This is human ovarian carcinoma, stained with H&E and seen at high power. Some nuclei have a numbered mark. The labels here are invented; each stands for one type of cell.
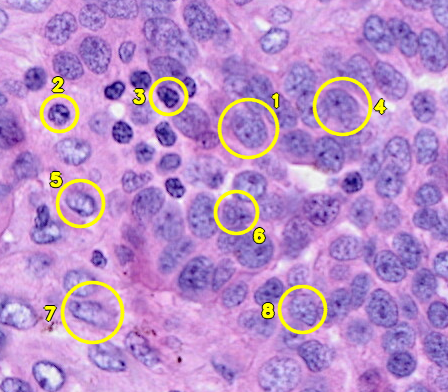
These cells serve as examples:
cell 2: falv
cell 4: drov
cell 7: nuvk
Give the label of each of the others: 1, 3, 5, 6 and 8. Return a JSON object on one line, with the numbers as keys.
{"1": "drov", "3": "falv", "5": "nuvk", "6": "drov", "8": "drov"}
